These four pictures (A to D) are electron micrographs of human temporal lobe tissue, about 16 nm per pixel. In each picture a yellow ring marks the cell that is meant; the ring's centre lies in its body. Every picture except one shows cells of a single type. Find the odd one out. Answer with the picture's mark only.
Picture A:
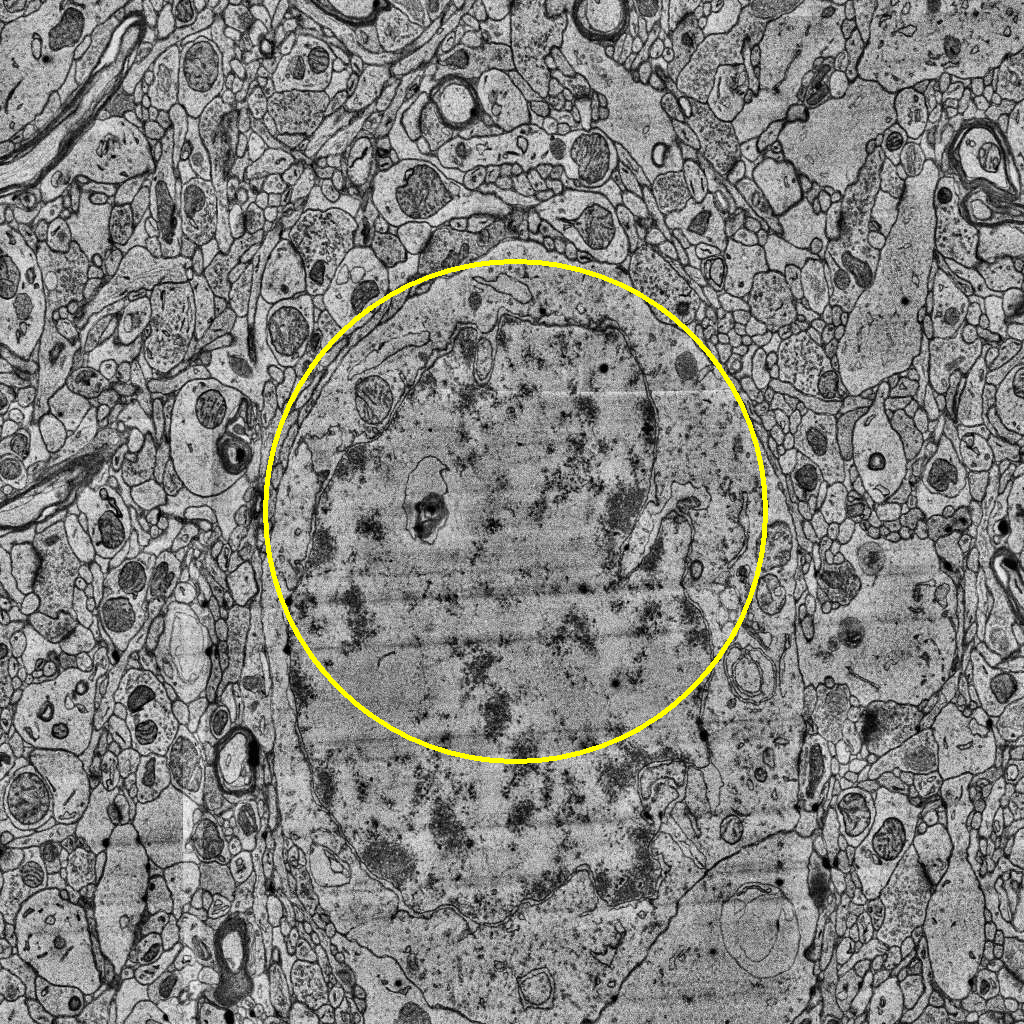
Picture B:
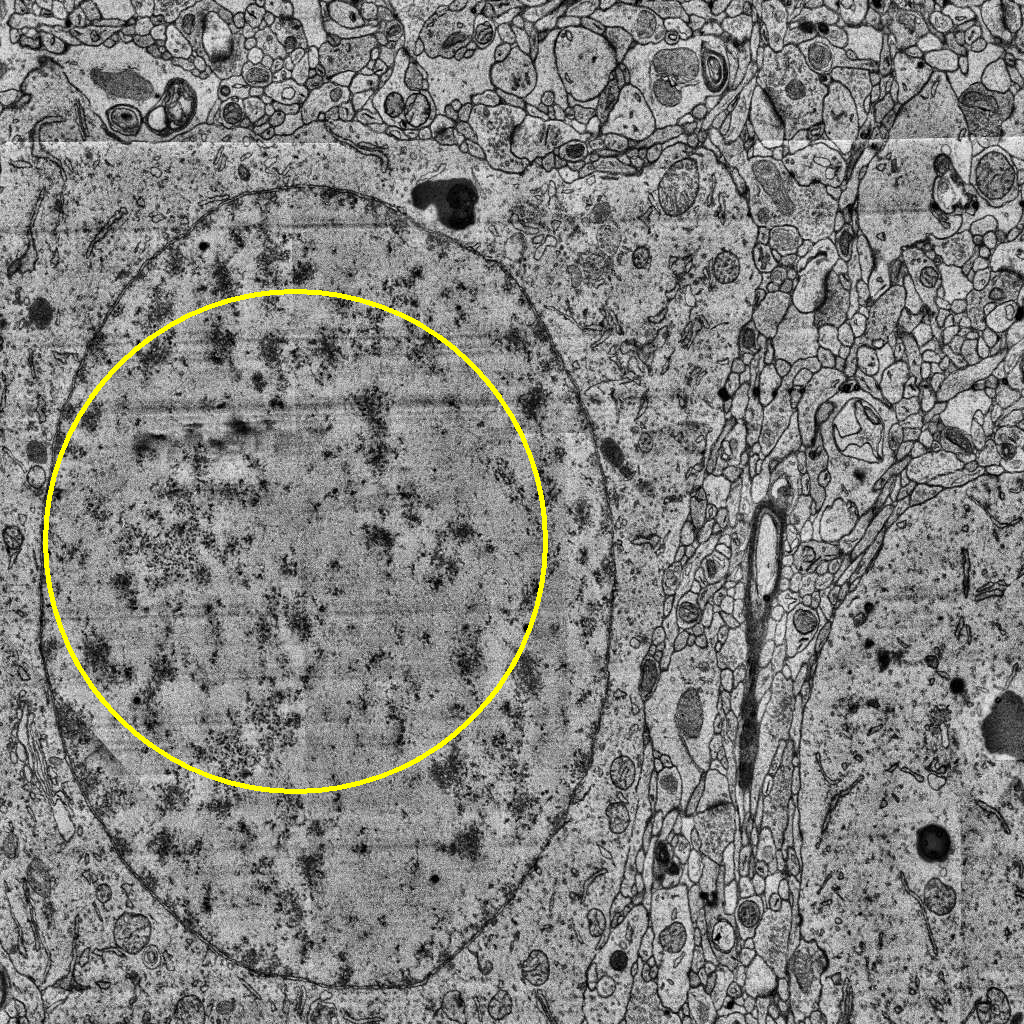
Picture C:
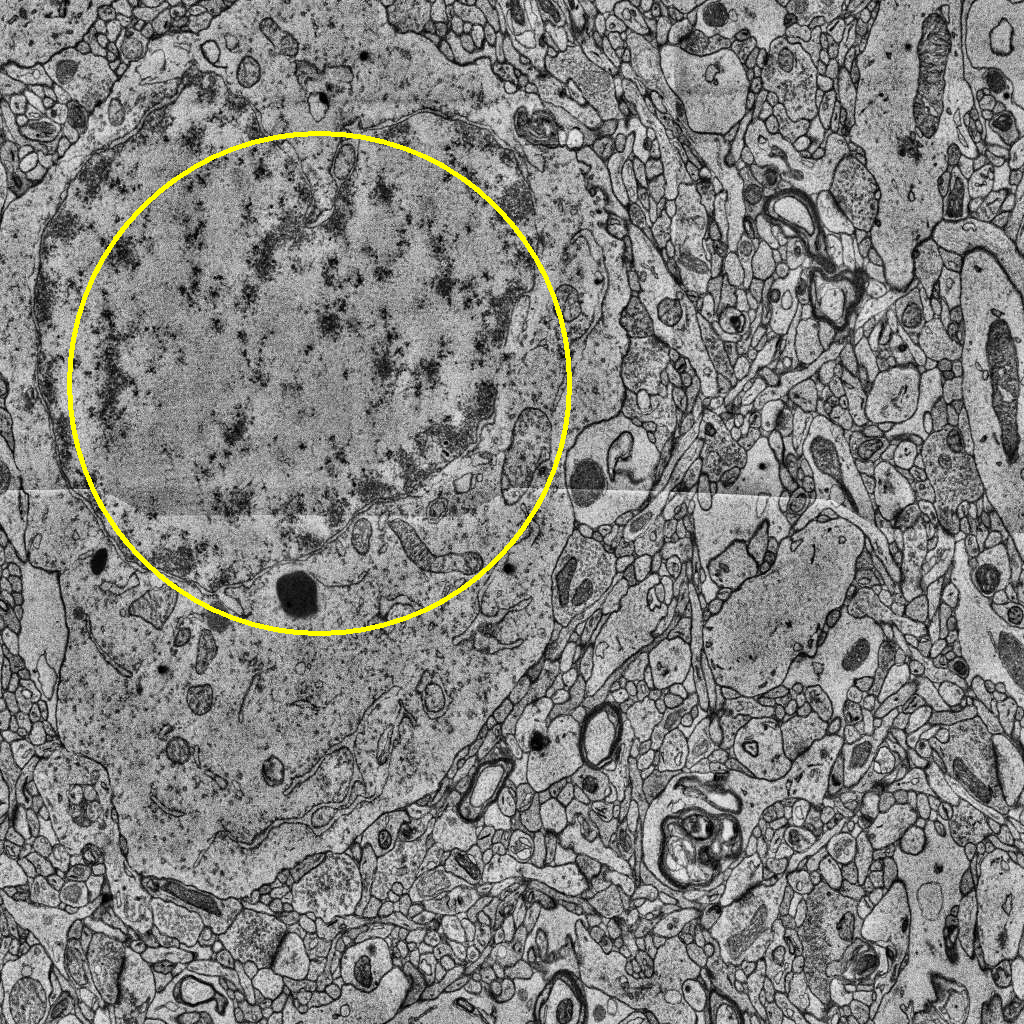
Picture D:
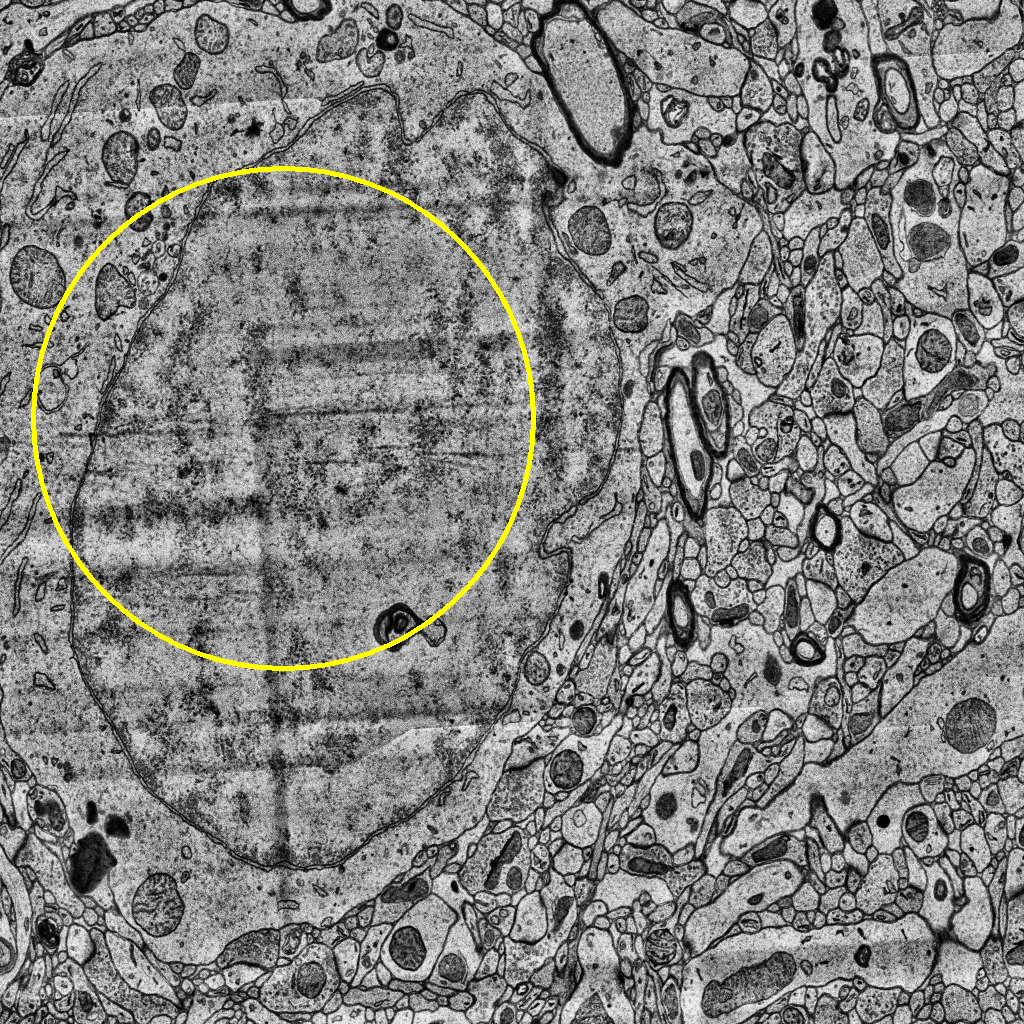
B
